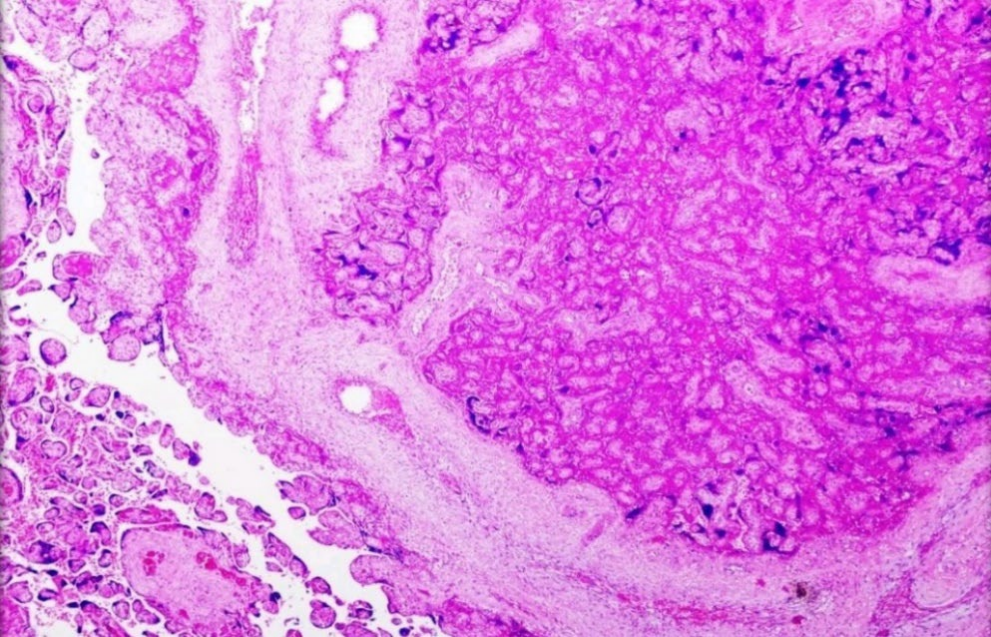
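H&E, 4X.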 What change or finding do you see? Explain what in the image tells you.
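A large, sharply bounded, densely eosinophilic area occupies the upper right of the field. Within it, villous outlines are crowded together with almost no open space between them.
Infarct.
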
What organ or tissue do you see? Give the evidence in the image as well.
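At lower left, separate rounded villi lie within open white spaces. These villi have pink stromal cores and dark purple nuclei at their surfaces.
Answer: viable villous tissue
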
